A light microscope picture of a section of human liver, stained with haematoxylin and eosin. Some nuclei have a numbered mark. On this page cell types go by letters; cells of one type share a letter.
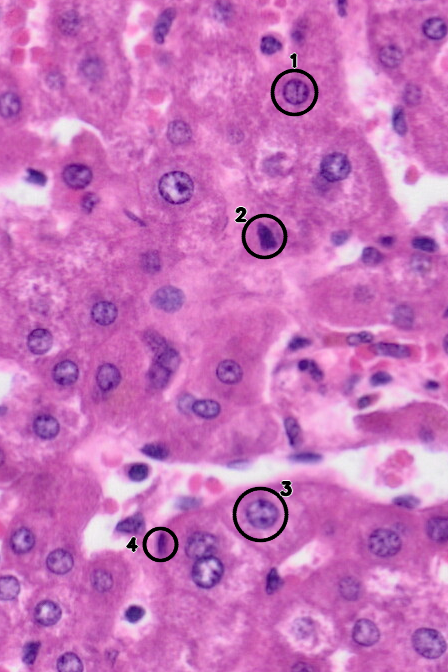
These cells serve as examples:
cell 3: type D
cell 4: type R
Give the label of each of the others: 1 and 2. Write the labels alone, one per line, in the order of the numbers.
type D
type R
